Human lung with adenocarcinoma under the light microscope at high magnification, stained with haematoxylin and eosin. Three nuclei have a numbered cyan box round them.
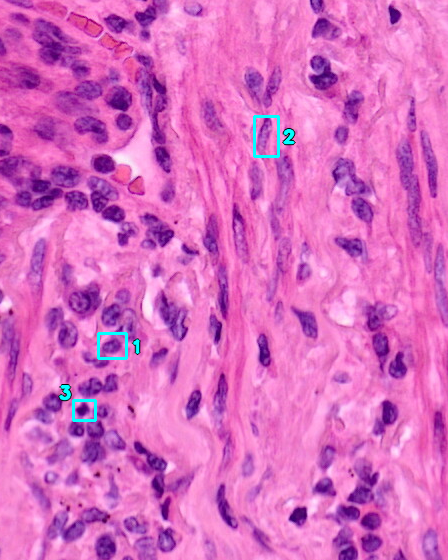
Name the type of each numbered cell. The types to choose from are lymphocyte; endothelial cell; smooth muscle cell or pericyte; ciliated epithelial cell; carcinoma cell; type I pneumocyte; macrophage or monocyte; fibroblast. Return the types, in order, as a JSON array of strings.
["lymphocyte", "smooth muscle cell or pericyte", "lymphocyte"]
